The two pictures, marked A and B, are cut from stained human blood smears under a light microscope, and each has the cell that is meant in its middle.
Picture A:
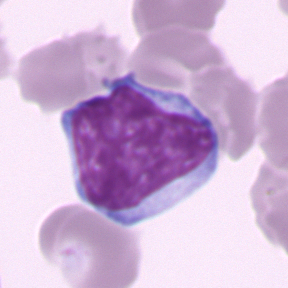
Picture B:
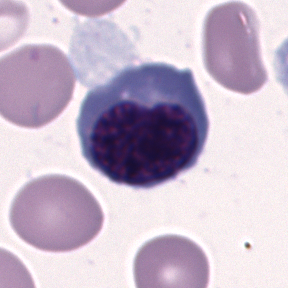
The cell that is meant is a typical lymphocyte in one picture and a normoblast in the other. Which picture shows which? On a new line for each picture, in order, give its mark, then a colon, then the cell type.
A: typical lymphocyte
B: normoblast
